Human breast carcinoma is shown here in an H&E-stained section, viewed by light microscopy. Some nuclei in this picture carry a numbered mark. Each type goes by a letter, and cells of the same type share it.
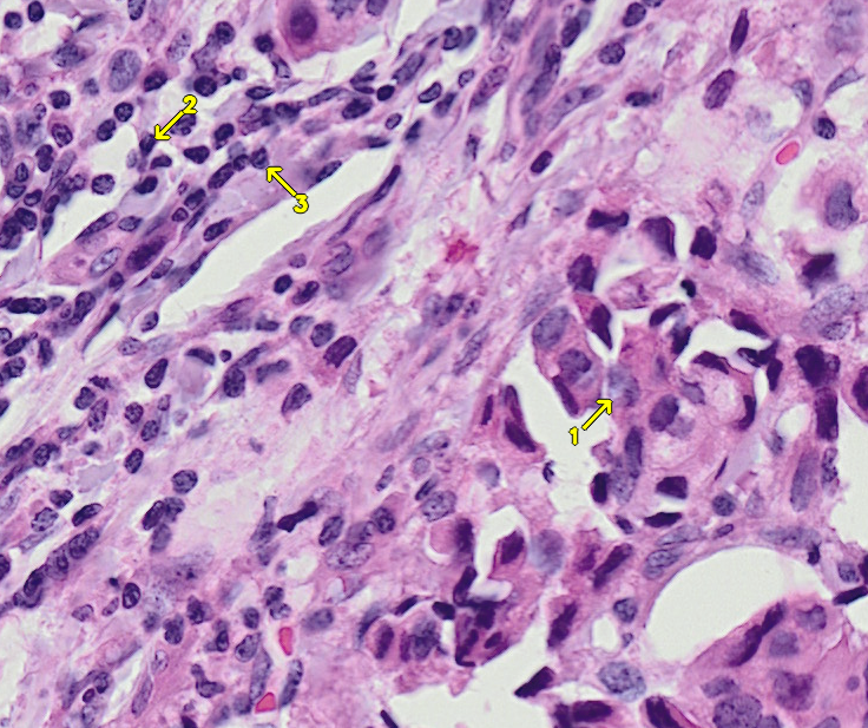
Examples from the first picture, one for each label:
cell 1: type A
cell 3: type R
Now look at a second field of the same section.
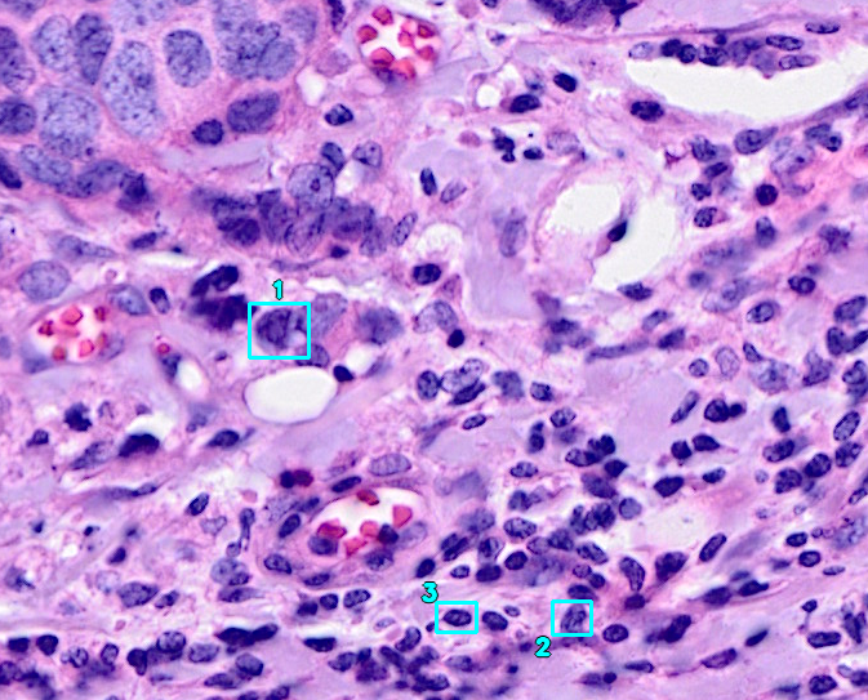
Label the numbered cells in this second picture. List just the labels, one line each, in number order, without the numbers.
type A
type R
type R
